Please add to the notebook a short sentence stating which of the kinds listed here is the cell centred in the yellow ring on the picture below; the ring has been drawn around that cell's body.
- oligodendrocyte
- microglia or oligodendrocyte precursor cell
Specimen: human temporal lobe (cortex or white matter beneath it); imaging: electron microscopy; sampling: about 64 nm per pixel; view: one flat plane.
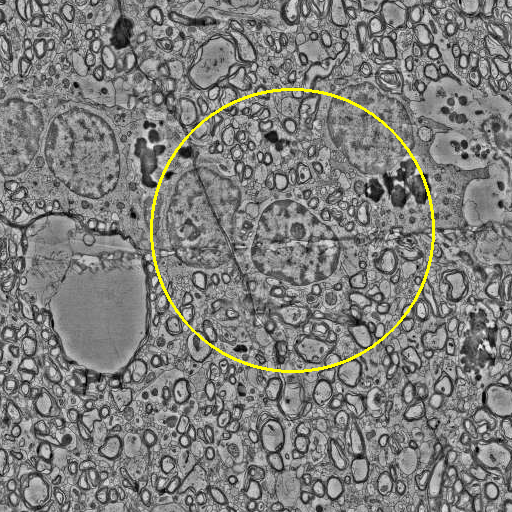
The cell centred in the yellow ring is a microglial cell or oligodendrocyte precursor cell.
